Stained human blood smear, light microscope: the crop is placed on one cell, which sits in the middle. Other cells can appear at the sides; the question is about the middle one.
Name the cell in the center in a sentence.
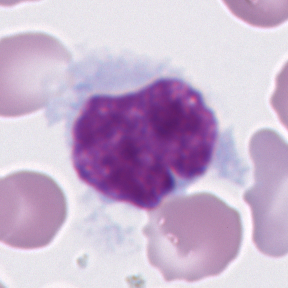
In the middle of this smear crop, the cell is a hairy cell.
